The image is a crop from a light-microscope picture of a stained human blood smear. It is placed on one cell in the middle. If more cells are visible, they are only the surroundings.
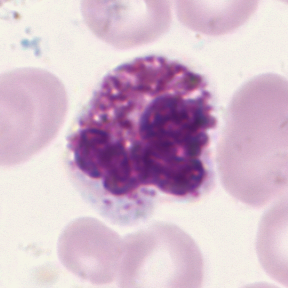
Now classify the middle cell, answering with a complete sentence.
In the central position of this crop, the cell is an eosinophil.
